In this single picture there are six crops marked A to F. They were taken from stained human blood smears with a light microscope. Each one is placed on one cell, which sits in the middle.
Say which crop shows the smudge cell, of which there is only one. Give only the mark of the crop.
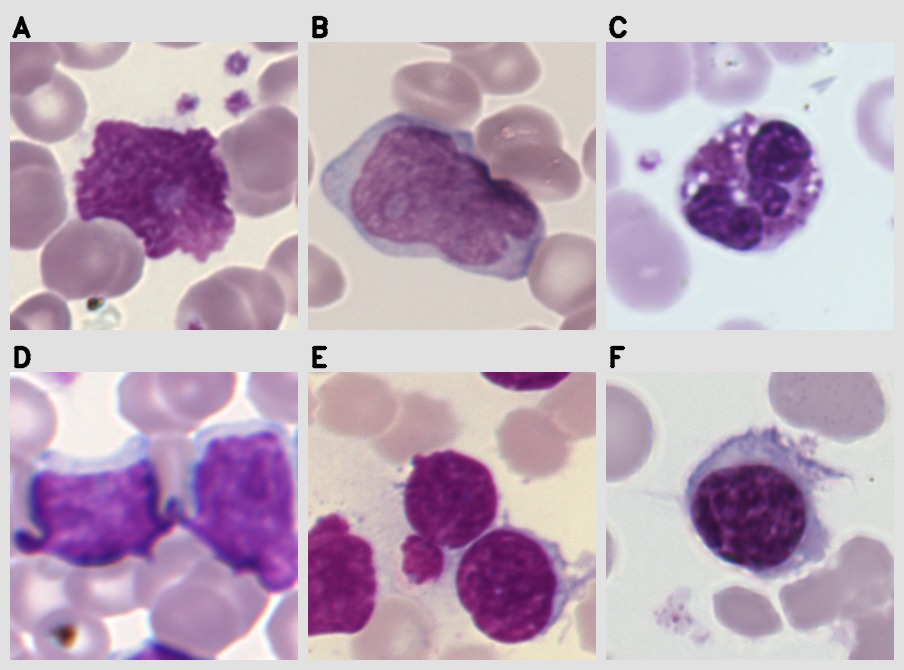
A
